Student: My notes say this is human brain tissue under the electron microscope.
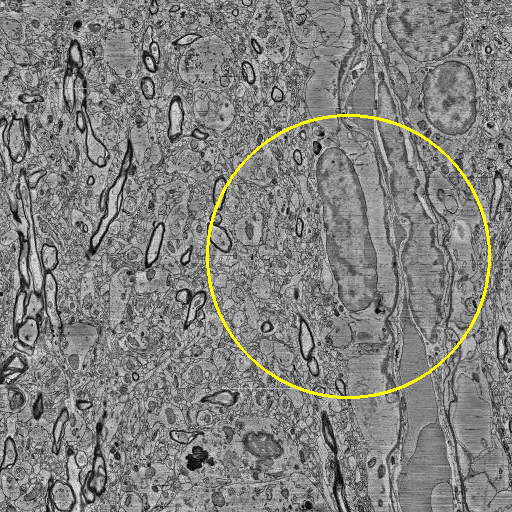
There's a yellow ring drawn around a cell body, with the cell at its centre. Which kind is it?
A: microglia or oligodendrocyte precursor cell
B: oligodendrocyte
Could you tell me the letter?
A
